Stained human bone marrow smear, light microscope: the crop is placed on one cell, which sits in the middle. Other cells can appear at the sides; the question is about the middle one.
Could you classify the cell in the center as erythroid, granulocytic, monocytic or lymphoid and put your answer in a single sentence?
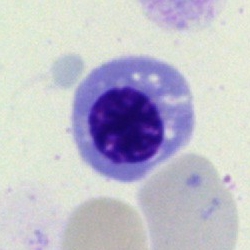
Regarding the central cell, its lineage is erythroid.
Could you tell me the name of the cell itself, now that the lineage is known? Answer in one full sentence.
The centrally positioned cell in the crop represents an erythroblast.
